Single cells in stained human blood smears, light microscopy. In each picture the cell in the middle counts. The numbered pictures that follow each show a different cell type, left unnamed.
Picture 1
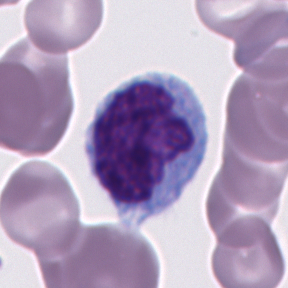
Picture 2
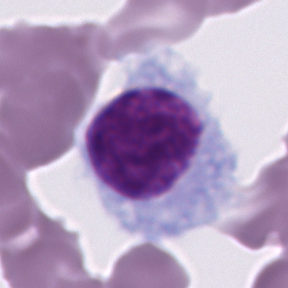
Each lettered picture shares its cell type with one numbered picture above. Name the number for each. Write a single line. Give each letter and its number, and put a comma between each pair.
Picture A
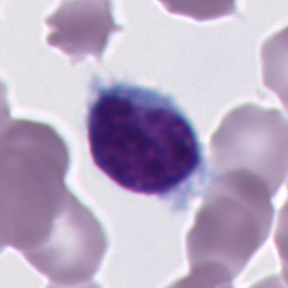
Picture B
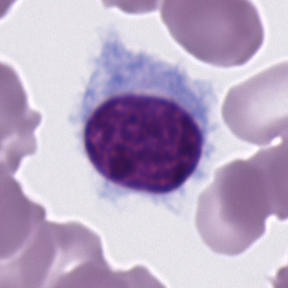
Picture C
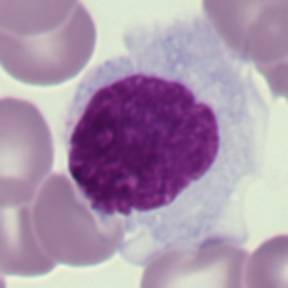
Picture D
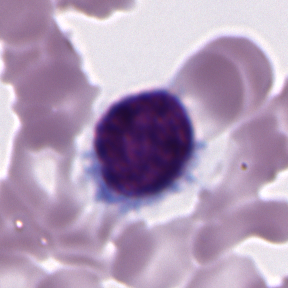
A 2, B 2, C 2, D 2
